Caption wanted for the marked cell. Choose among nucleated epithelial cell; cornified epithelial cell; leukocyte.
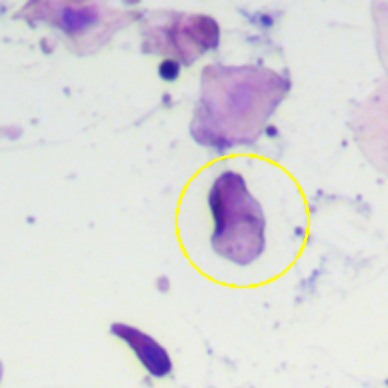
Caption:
Ringed in yellow is a cornified epithelial cell.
